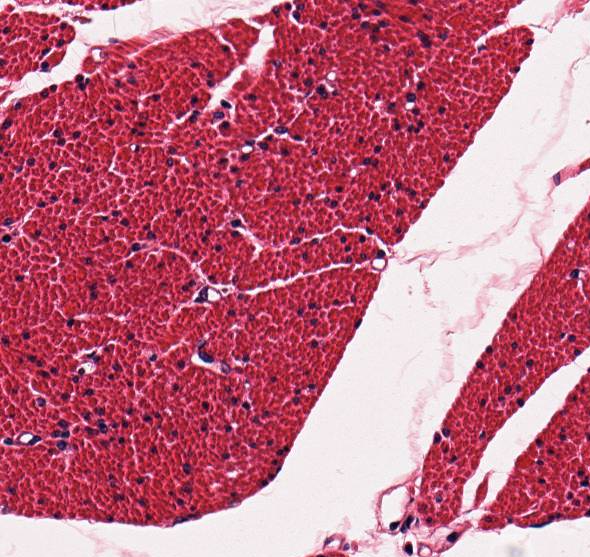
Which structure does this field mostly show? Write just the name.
smooth muscle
